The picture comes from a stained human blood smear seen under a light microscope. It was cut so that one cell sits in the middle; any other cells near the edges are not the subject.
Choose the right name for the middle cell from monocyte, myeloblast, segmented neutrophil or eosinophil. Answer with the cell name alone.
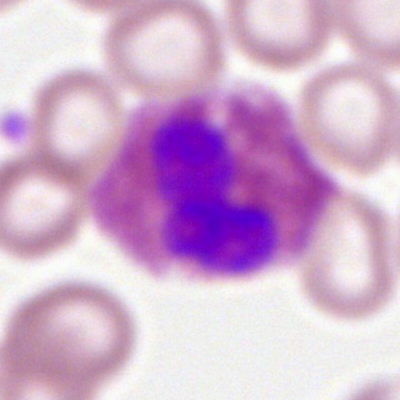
eosinophil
